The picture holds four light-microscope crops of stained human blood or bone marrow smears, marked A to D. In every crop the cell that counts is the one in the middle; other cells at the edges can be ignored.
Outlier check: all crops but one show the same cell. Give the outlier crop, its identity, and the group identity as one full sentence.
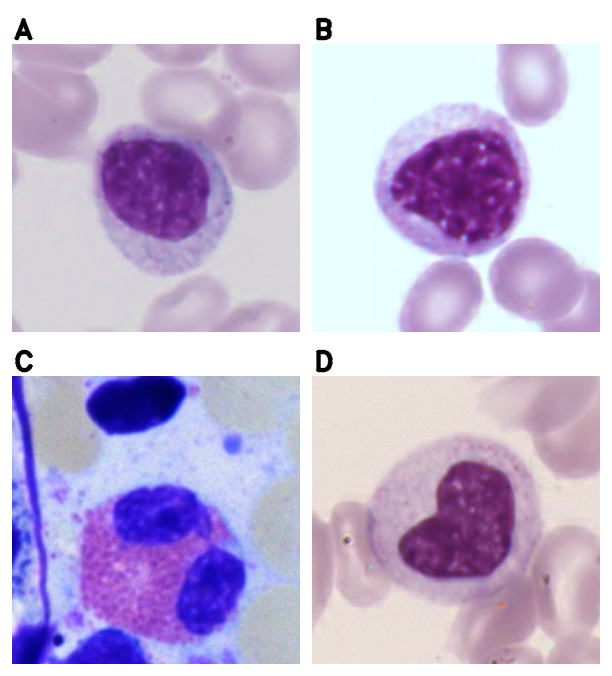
Crop C holds an eosinophil, unlike the remaining crops, all of which hold metamyelocytes.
